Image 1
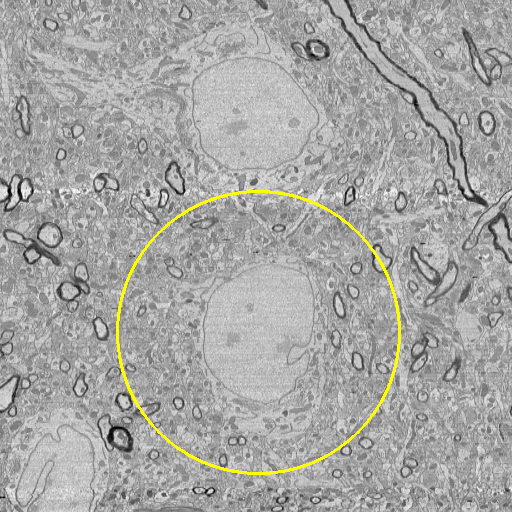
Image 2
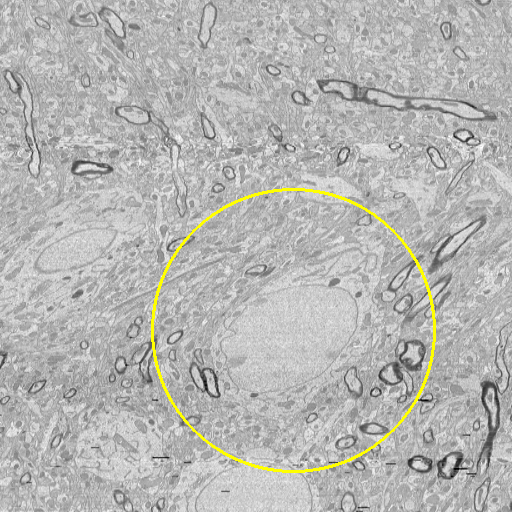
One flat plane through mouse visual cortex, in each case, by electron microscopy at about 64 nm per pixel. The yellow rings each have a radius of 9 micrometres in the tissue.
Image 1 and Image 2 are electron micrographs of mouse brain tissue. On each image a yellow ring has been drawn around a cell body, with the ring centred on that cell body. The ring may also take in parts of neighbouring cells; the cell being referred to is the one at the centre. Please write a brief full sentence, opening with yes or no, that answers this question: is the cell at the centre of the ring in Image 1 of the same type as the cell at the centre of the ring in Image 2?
Yes, both cells are of the same type.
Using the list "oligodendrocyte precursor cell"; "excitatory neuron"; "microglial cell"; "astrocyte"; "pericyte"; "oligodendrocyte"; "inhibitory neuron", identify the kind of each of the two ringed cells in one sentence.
Each of the two rings is centred on an excitatory neuron.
